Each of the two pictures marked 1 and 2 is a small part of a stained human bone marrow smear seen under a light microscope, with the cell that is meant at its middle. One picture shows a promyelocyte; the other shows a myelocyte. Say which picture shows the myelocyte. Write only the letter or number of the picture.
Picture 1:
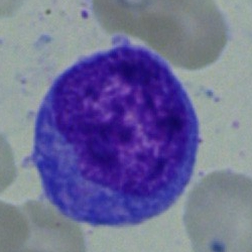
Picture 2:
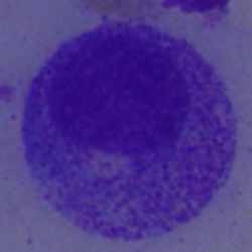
2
